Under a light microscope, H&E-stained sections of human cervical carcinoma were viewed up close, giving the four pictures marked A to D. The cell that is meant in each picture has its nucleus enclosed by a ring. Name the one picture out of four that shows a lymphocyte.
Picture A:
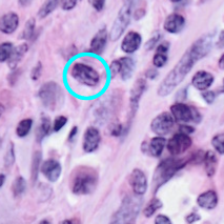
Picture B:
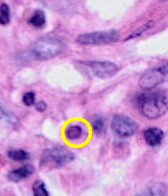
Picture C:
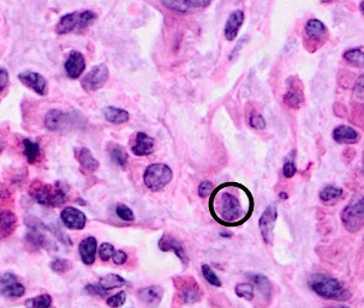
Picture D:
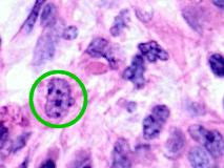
A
